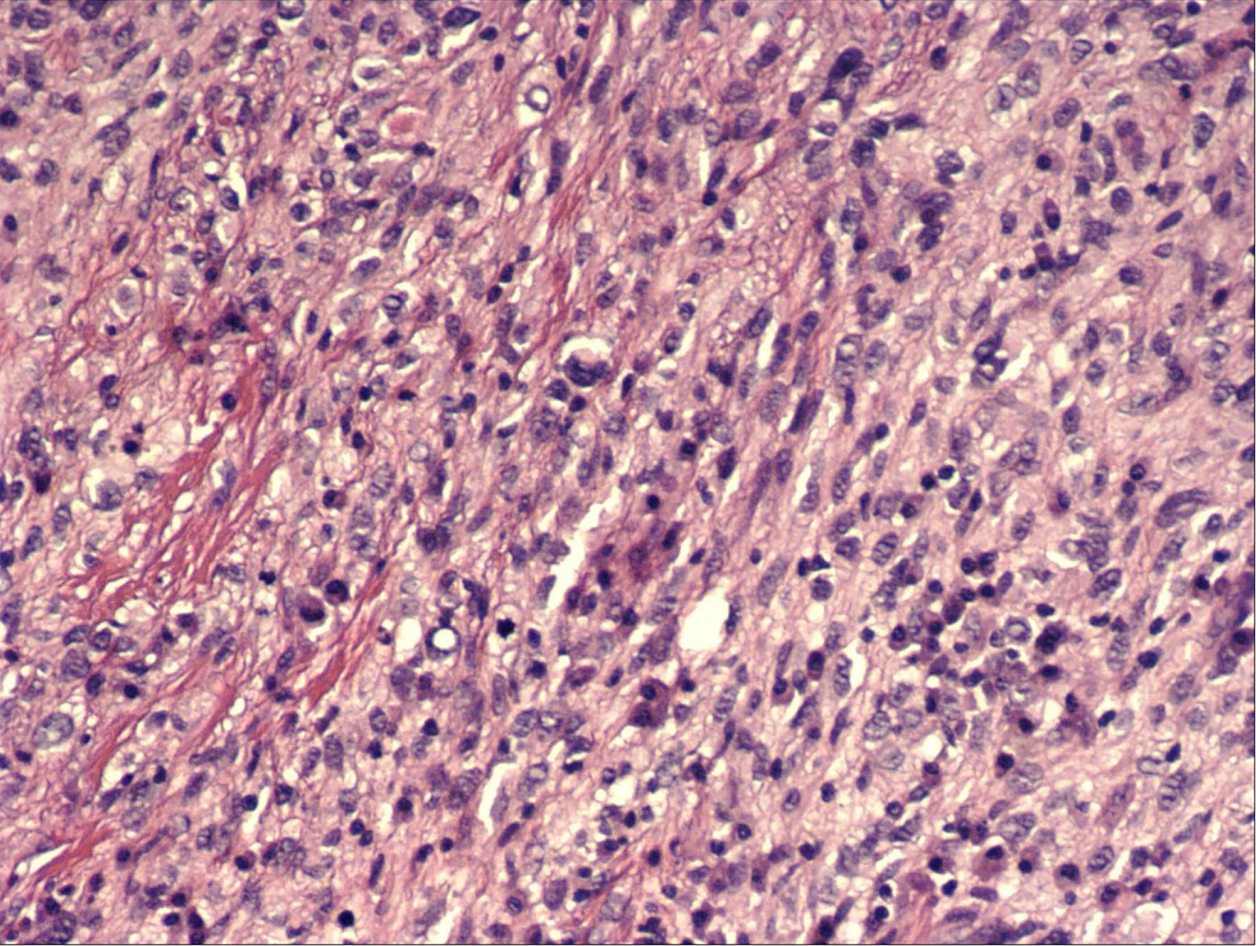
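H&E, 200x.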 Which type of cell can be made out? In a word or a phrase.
Spindle cells with nuclear atypia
